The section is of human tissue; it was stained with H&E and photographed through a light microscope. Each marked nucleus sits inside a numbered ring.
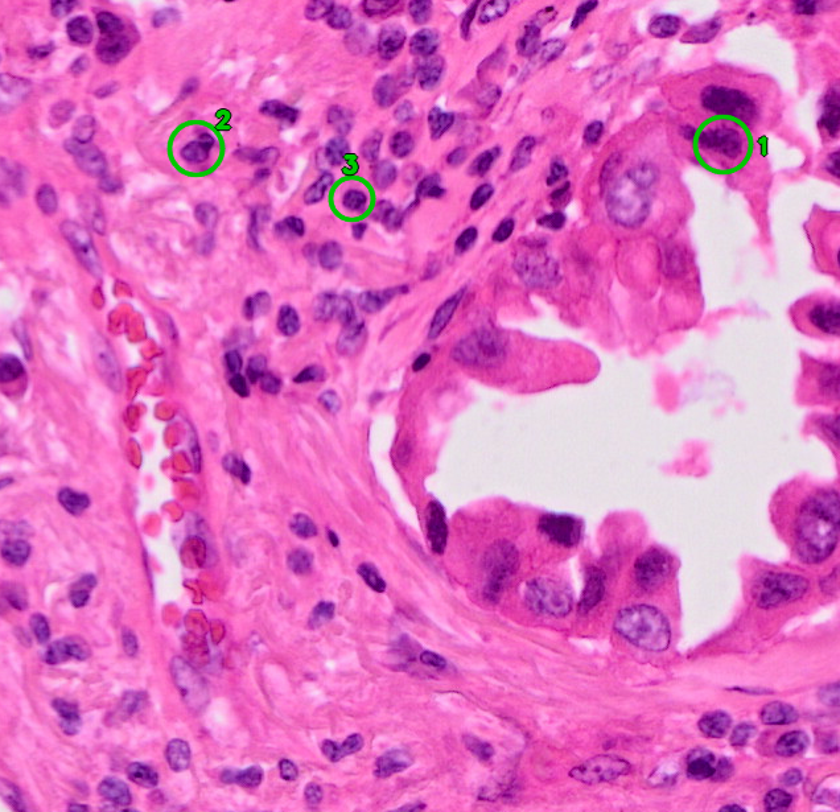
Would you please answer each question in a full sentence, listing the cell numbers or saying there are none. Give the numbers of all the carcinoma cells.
Whereas cell 1 is a carcinoma cell, the other numbered cells are not.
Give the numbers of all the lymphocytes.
The numbered cells include exactly one that is a lymphocyte, which is cell 3.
